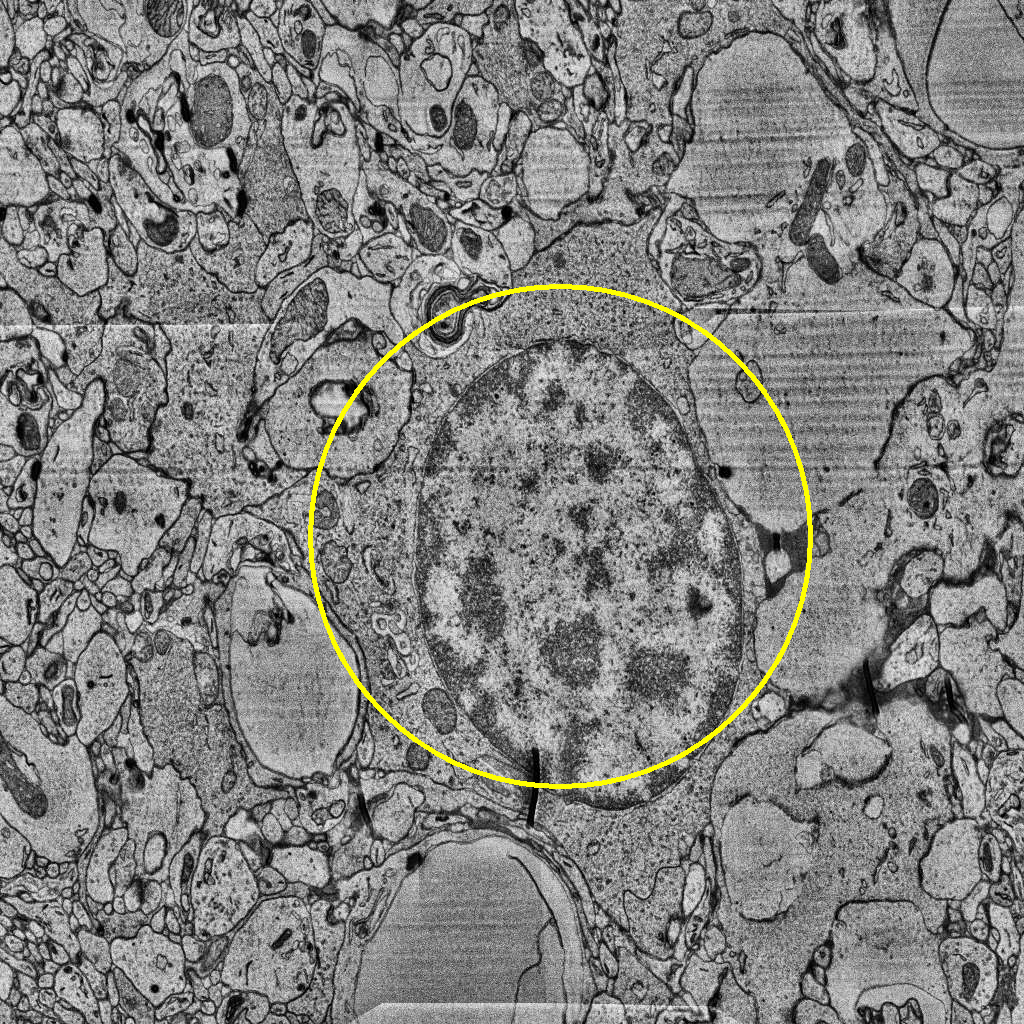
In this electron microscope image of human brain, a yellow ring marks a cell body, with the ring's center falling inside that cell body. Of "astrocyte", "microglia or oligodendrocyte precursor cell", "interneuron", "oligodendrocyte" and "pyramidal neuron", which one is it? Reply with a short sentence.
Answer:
It is an oligodendrocyte at the center of the ring.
